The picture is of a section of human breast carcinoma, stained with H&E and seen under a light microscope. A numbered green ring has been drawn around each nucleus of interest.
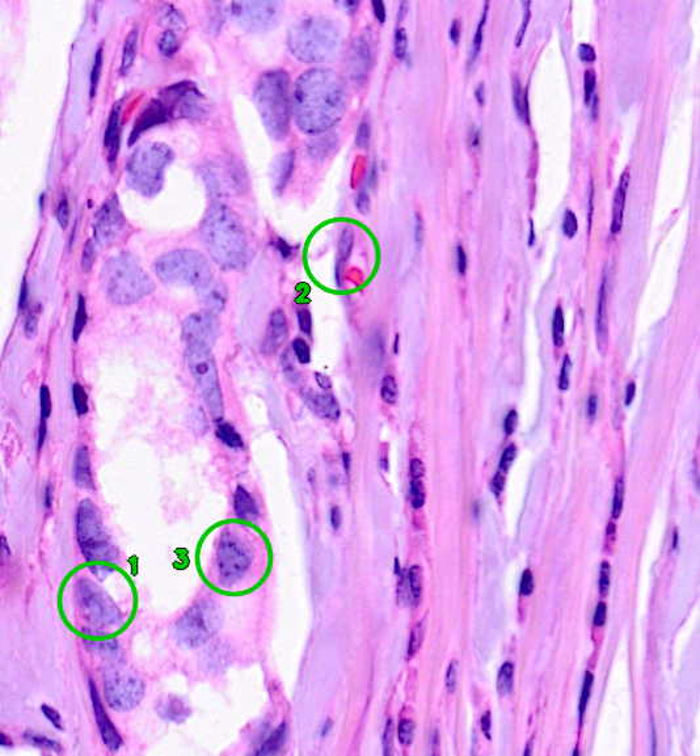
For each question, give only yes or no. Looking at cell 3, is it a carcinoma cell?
yes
